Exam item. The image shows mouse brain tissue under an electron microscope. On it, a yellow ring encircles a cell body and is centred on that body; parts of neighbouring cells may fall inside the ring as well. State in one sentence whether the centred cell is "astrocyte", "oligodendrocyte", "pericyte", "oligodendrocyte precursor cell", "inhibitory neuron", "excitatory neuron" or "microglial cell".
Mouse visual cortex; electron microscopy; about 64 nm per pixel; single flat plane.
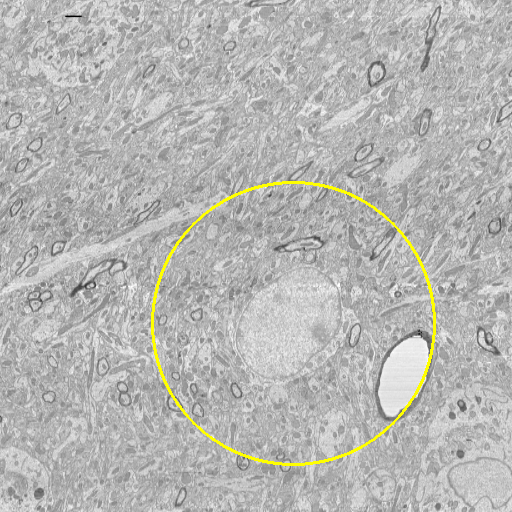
The cell body centred in the ring is an astrocyte.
